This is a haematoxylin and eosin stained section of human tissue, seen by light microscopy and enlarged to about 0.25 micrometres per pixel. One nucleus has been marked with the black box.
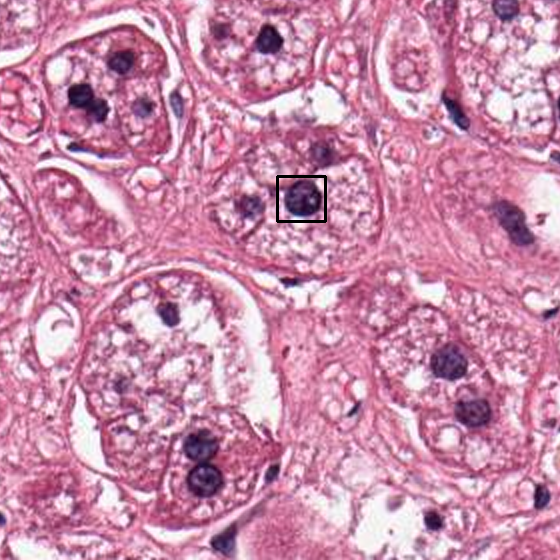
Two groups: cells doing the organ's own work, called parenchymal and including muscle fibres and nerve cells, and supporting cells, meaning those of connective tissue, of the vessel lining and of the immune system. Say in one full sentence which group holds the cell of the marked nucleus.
Belonging to a parenchymal cell, the marked nucleus is that of an adrenal cortical cell.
